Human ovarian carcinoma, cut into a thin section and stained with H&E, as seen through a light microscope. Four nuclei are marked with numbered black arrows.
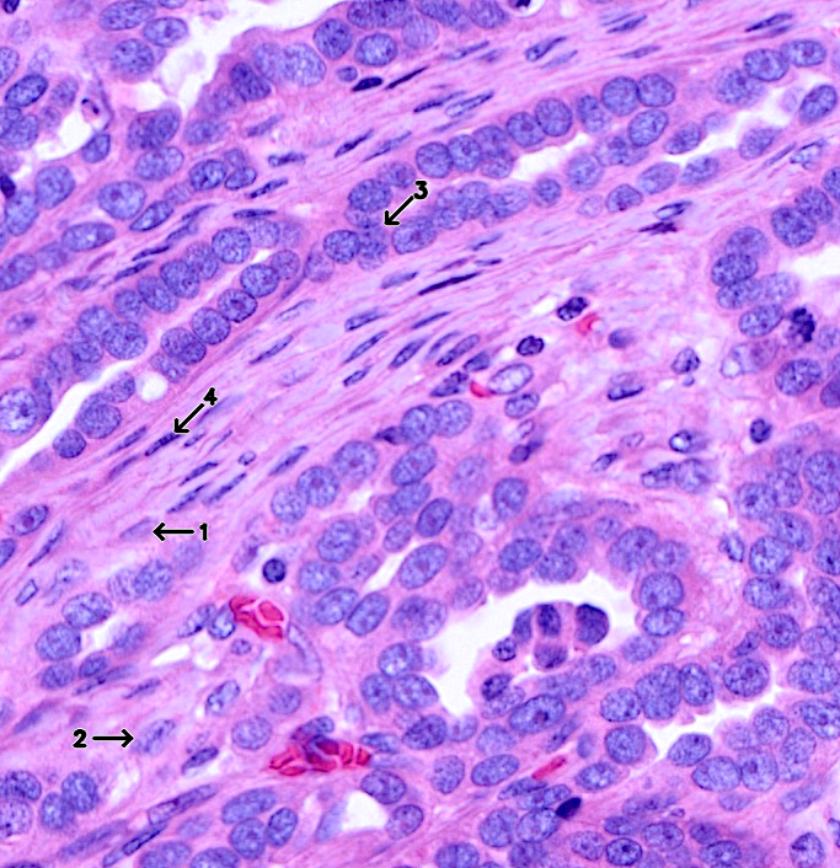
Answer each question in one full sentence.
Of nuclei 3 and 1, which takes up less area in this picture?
Nucleus 1 covers less area, with nucleus 3 about 1.5 times as large.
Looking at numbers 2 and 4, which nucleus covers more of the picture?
Number 2 is larger; its area is about 2 times that of number 4.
